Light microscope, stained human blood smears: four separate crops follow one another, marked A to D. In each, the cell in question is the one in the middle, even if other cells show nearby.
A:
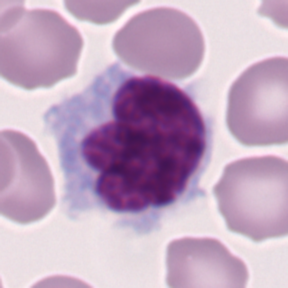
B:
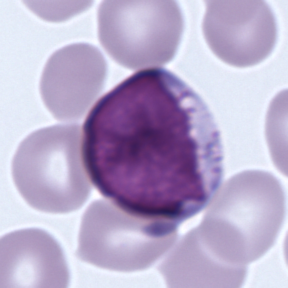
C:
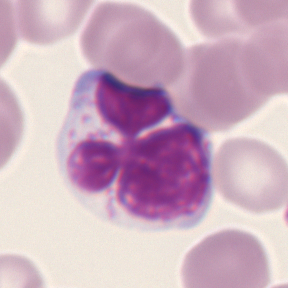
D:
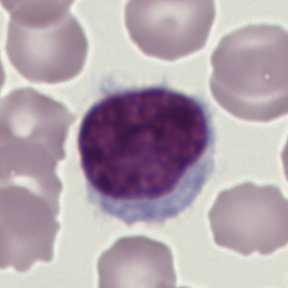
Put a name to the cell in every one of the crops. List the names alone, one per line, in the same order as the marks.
hairy cell
large granular lymphocyte
large granular lymphocyte
hairy cell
